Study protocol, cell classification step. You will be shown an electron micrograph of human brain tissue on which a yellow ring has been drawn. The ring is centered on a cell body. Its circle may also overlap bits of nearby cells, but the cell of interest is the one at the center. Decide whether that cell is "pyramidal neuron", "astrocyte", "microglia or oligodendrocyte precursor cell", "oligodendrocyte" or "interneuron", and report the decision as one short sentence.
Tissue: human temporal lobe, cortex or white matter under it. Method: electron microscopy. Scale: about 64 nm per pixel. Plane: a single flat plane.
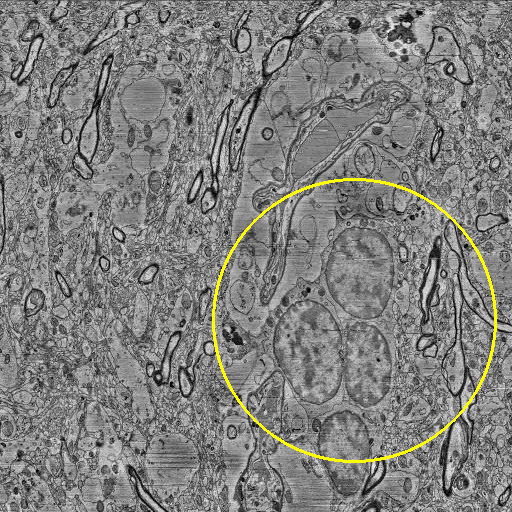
The marked cell is an oligodendrocyte.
